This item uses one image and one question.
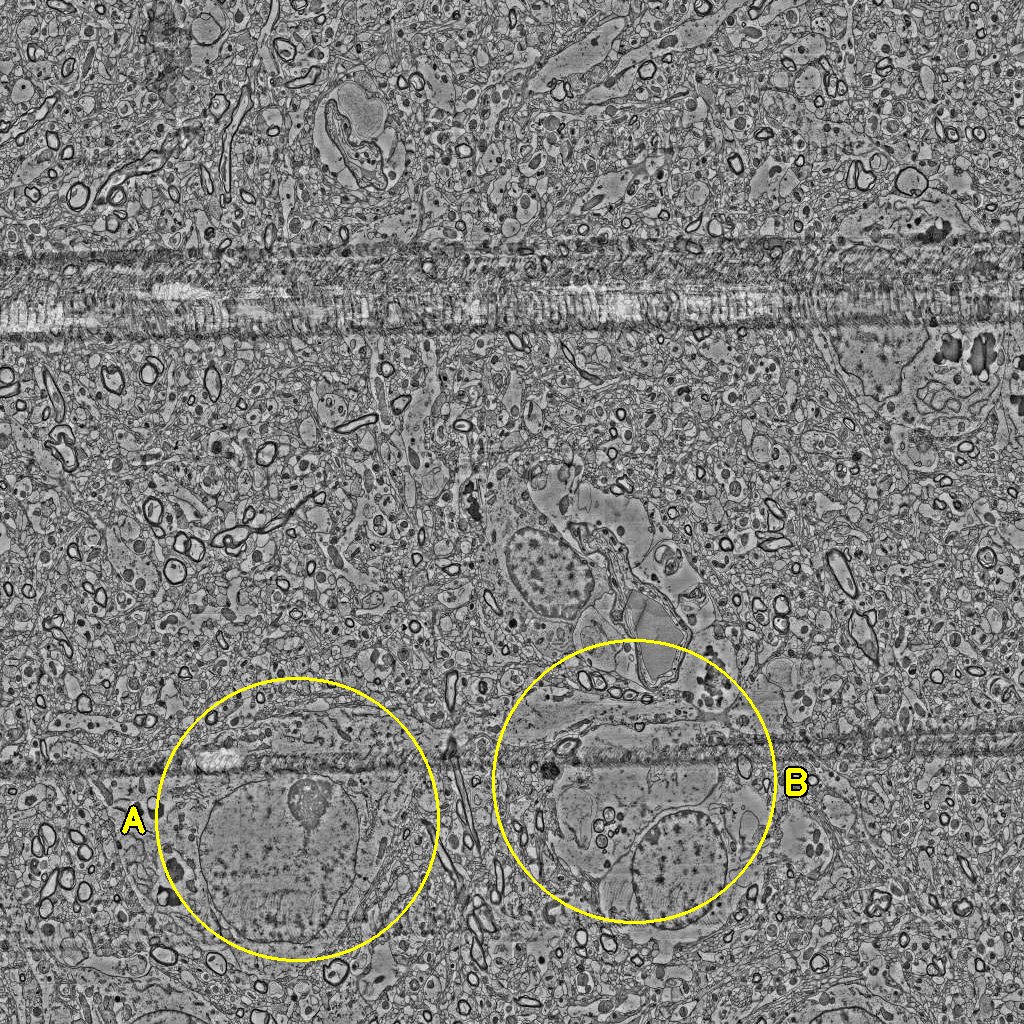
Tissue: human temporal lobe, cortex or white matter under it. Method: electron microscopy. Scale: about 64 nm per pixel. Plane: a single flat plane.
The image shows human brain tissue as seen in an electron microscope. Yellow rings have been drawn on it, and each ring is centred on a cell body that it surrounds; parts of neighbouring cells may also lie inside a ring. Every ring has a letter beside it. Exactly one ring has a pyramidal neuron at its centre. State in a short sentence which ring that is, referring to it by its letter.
Ring A has that cell at its centre.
